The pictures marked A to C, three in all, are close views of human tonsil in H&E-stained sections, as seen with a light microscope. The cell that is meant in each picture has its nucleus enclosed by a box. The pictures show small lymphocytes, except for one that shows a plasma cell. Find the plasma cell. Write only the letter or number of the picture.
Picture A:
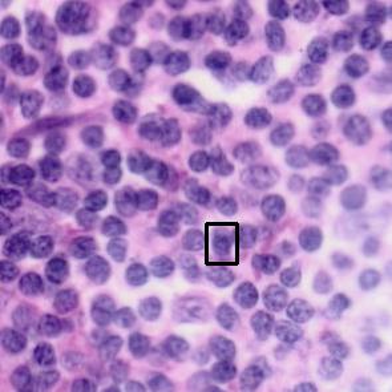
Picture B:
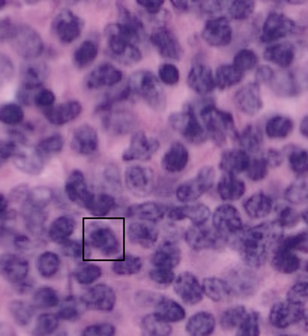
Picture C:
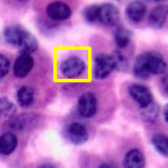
C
